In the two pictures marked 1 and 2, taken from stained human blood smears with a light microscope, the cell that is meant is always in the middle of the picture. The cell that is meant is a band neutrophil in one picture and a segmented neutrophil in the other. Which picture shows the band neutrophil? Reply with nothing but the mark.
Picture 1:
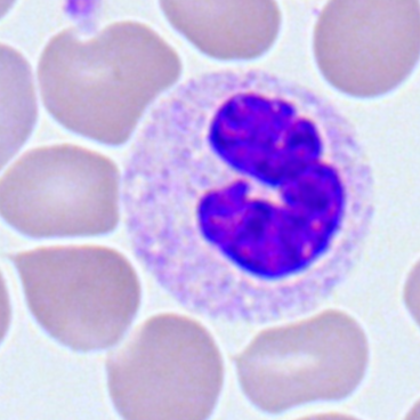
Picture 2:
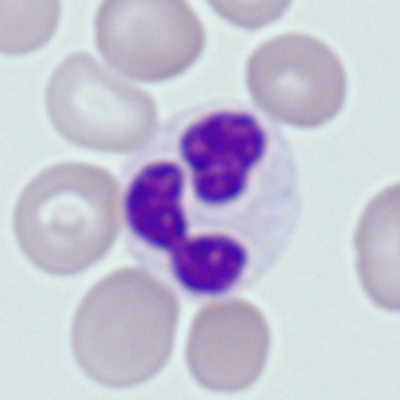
1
